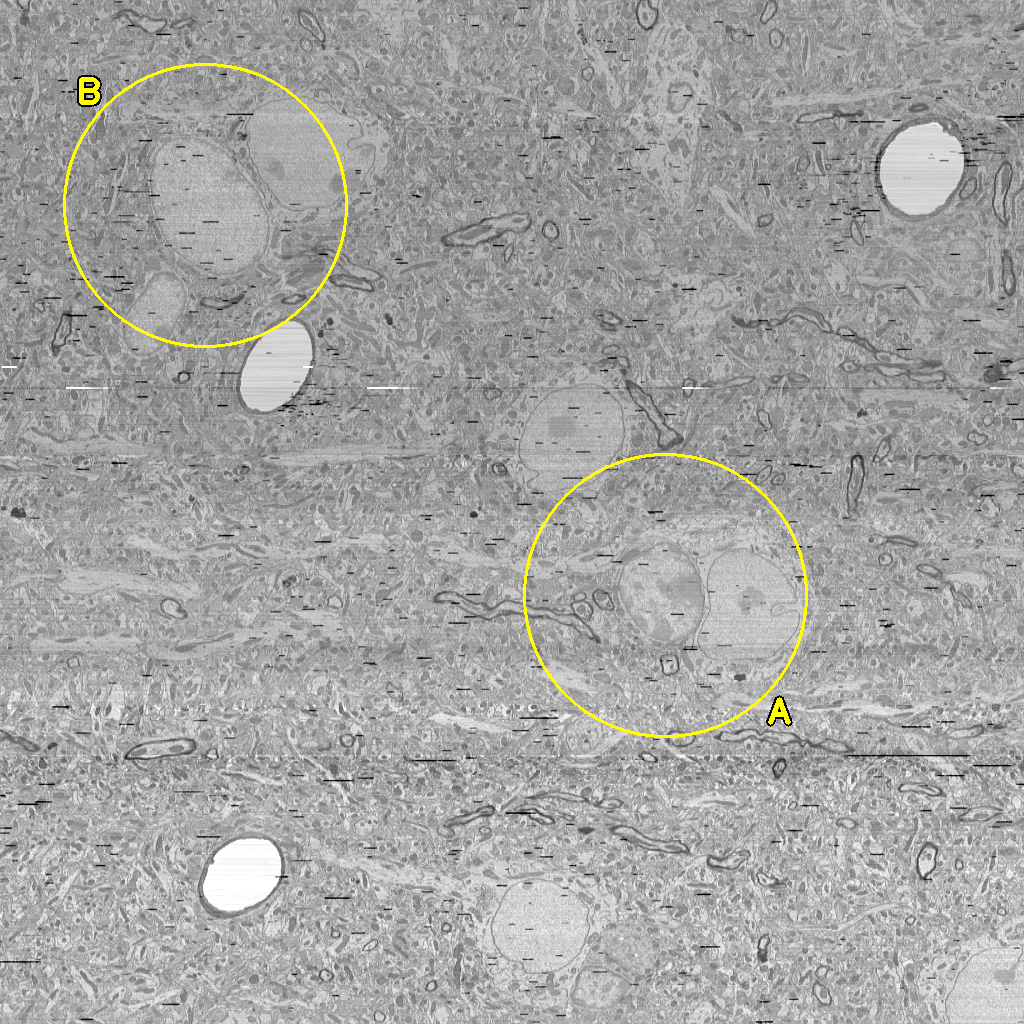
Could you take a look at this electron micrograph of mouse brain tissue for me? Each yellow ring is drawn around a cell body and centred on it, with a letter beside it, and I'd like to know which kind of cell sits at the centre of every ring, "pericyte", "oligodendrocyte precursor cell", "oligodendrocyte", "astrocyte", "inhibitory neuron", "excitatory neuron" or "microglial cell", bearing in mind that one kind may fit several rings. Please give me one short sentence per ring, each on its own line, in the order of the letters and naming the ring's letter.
Ring A is centred on an oligodendrocyte.
Ring B is centred on an astrocyte.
